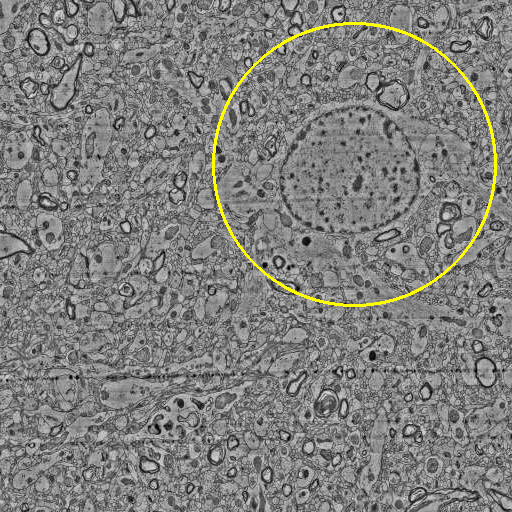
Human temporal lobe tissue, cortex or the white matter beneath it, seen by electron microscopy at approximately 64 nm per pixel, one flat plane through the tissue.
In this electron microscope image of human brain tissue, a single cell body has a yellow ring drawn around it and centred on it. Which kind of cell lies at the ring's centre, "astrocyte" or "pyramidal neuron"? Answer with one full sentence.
It is an astrocyte whose cell body lies at the centre of the yellow ring here.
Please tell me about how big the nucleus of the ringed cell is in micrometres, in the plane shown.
In this plane the ringed cell's nucleus is roughly 8 micrometres across.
